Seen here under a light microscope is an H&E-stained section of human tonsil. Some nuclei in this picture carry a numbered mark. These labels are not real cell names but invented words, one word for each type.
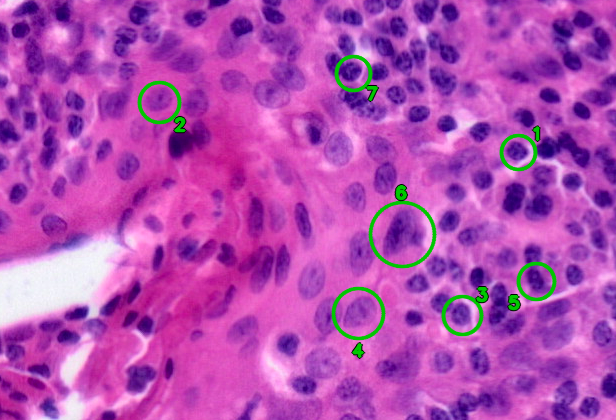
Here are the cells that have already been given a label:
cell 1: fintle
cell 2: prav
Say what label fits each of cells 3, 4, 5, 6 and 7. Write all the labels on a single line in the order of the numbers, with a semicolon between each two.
fintle; prav; fintle; prav; fintle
